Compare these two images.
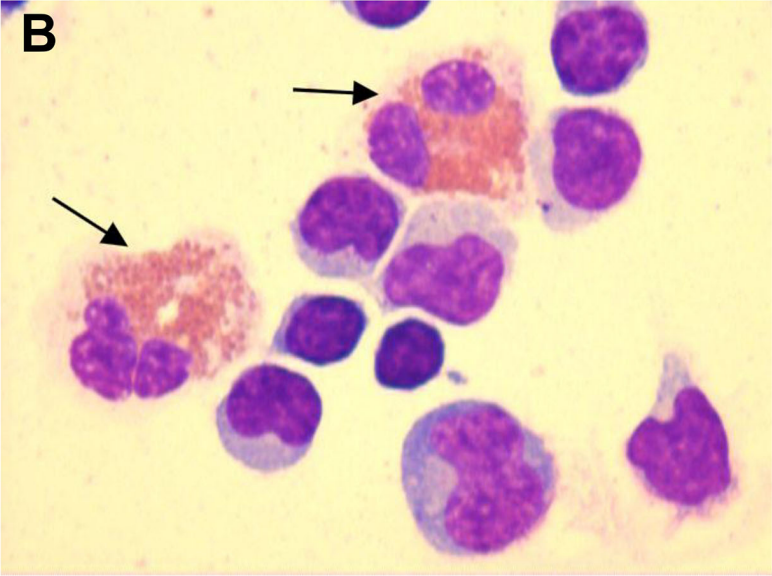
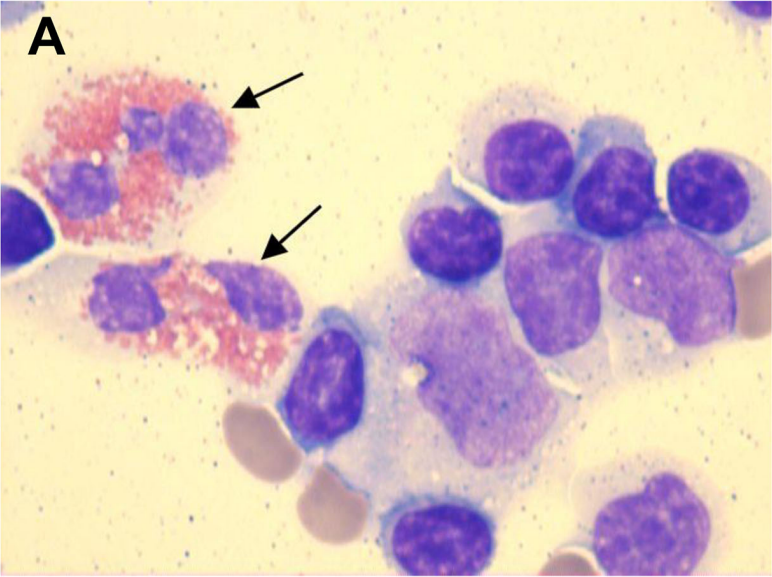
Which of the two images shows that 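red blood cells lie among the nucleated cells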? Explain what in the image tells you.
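First image: no pale anucleate discs are seen among the nucleated cells. Second image: pale grey-pink anucleate discs lie near the lower left and right edges. So: the second image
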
